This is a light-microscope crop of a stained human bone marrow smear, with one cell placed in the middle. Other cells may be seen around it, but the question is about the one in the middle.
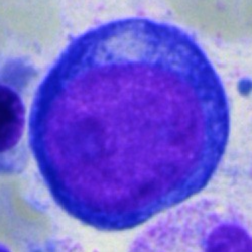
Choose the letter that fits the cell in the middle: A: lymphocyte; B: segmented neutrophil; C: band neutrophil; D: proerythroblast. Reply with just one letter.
D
